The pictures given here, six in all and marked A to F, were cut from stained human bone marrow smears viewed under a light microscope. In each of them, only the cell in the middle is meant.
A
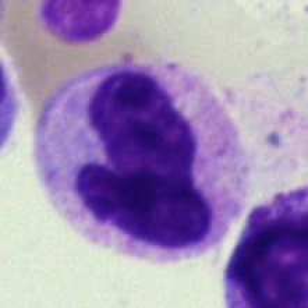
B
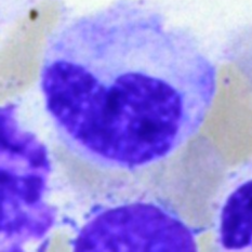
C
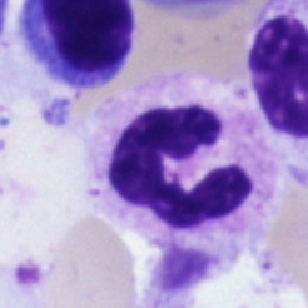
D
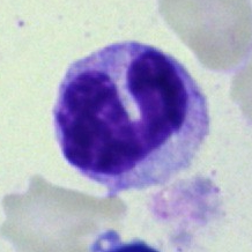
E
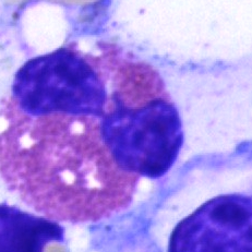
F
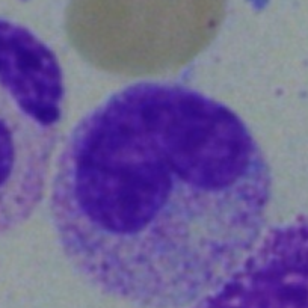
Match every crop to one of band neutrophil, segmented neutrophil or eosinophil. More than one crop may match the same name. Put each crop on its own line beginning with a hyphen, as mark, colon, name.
- A: band neutrophil
- B: band neutrophil
- C: segmented neutrophil
- D: band neutrophil
- E: eosinophil
- F: band neutrophil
